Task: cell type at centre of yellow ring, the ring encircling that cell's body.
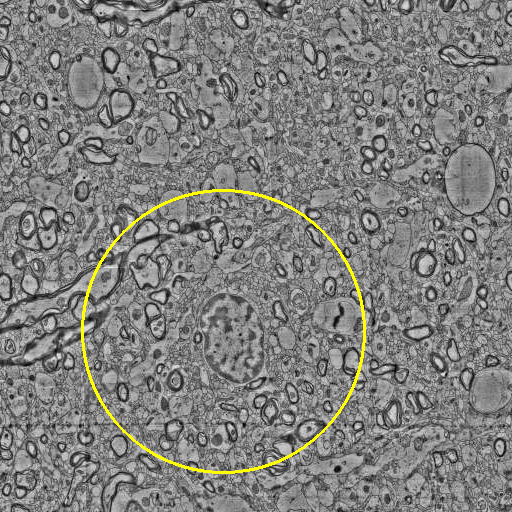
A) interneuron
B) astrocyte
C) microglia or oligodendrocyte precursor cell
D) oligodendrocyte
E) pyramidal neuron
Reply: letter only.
C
